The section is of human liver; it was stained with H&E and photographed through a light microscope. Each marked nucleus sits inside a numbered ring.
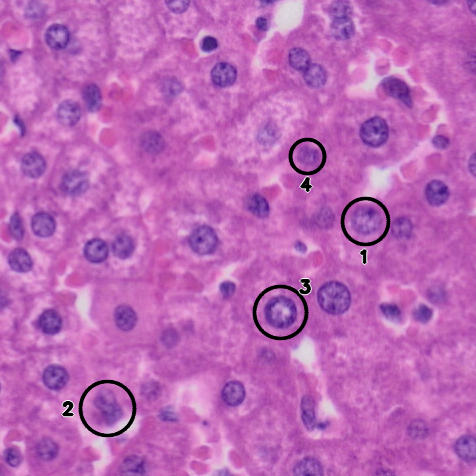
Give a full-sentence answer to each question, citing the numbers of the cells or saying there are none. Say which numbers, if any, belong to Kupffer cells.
Only one marked cell, number 2, is a Kupffer cell.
